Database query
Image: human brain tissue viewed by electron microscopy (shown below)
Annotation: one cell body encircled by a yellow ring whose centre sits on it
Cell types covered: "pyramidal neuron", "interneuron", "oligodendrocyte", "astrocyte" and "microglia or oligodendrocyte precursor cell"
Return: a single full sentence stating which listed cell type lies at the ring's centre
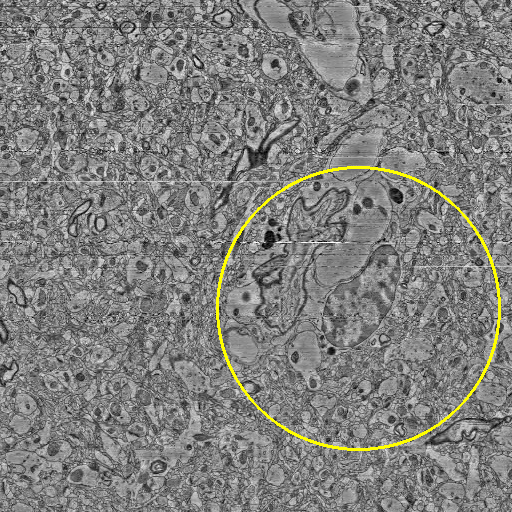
In the image, the cell lying at the ring's centre is a microglial cell or oligodendrocyte precursor cell.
